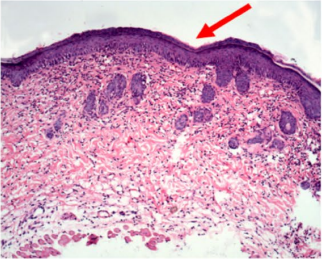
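Rounded purple clusters of cells in the upper dermis are cross-sections through hair follicles and their associated glands. Deeper down the pink connective tissue becomes looser, with pale spaces between the fibres.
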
